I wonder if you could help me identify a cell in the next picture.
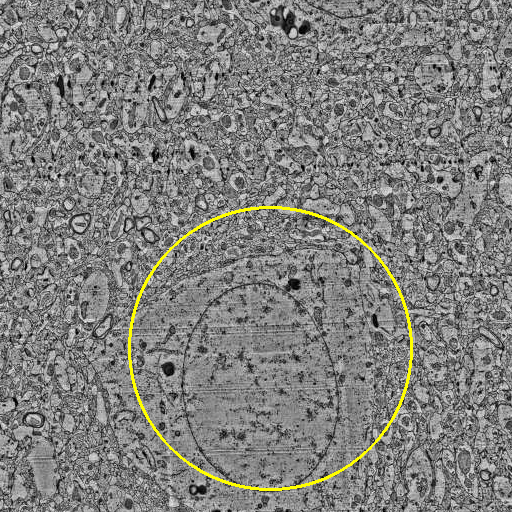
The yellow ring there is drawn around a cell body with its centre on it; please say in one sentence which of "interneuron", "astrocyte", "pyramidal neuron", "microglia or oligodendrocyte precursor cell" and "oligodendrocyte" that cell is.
The yellow ring is centred on a pyramidal neuron.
